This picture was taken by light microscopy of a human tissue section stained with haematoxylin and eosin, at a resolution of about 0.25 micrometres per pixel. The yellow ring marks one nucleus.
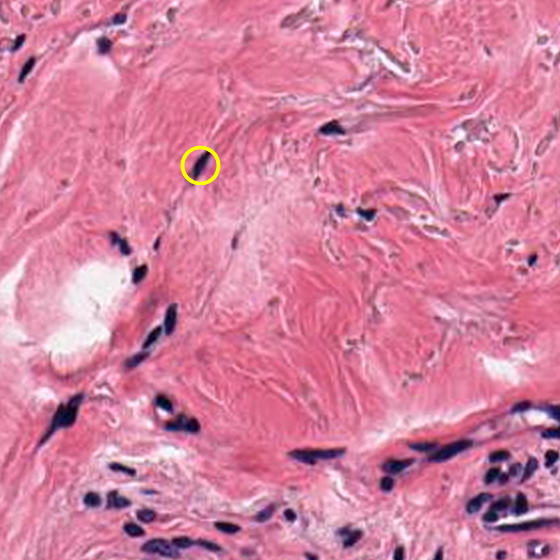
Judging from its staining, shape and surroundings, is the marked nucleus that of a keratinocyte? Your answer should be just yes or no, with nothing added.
no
